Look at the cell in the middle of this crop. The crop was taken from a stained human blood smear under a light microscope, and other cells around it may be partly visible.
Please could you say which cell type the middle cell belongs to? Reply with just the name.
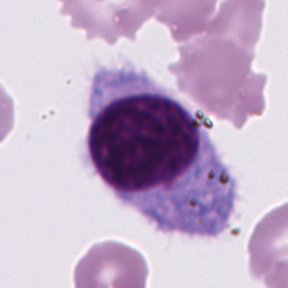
hairy cell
